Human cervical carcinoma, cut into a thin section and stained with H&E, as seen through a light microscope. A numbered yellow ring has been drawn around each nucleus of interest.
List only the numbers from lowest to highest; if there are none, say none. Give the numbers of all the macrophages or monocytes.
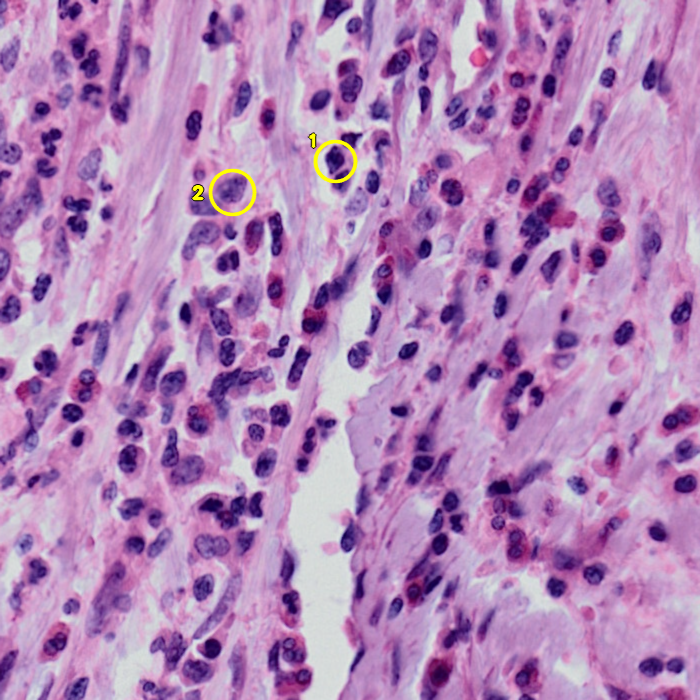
2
